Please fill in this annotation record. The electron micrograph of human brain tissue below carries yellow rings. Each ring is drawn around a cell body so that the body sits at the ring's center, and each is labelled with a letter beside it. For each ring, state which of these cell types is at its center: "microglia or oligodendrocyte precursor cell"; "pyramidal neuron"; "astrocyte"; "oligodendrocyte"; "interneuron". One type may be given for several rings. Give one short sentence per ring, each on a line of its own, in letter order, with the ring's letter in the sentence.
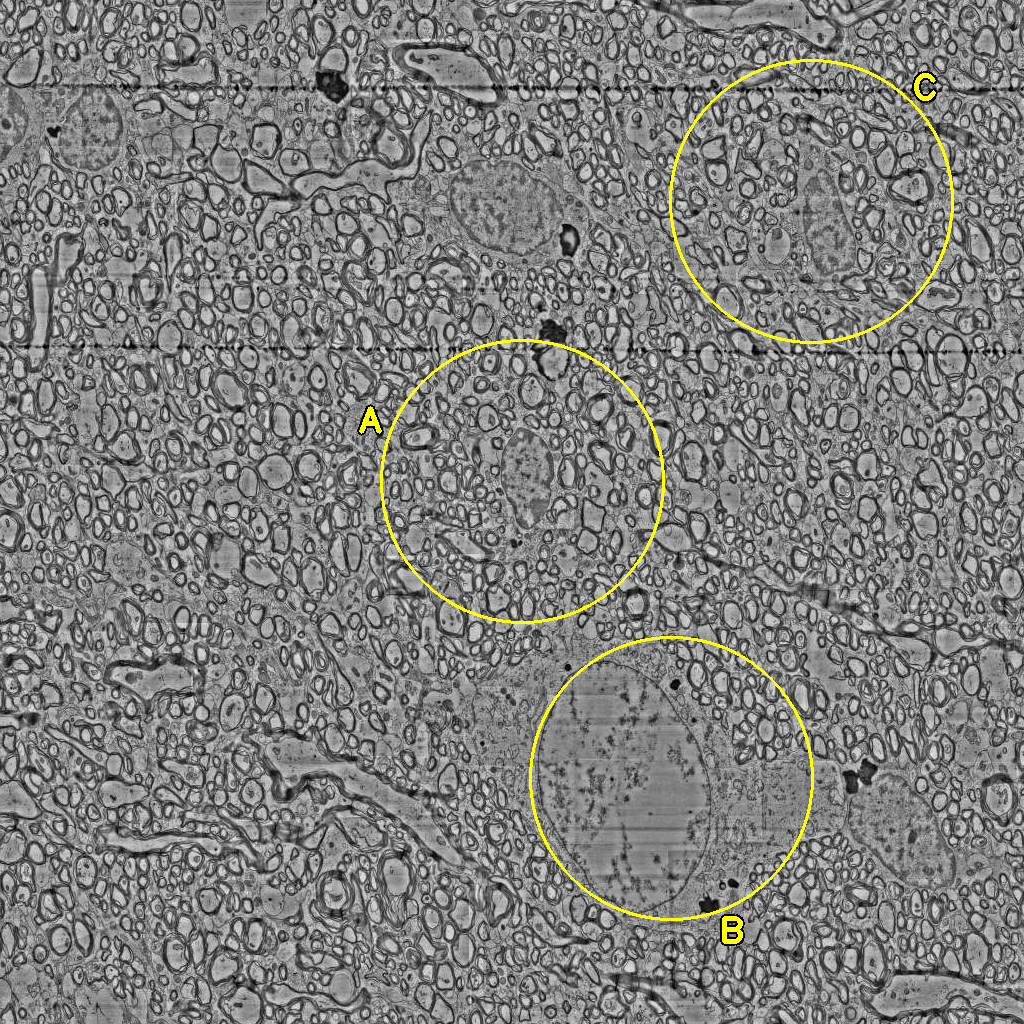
Ring A is drawn around a microglial cell or oligodendrocyte precursor cell.
Ring B is drawn around a pyramidal neuron.
Ring C is drawn around an oligodendrocyte.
